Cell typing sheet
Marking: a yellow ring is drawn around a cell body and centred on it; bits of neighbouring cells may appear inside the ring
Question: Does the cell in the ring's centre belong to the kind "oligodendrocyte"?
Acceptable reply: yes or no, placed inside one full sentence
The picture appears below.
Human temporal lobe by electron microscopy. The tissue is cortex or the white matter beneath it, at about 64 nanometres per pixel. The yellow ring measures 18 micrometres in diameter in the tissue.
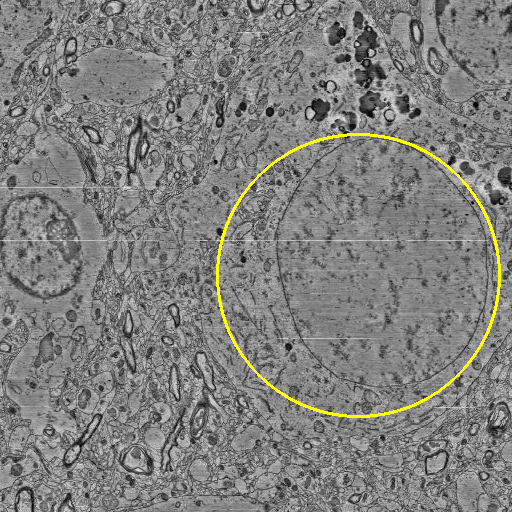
No, the cell at the centre of the ring belongs to a different kind.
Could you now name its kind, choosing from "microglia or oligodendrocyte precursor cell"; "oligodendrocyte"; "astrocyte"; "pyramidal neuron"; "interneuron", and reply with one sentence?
The cell ringed in the picture is a pyramidal neuron.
